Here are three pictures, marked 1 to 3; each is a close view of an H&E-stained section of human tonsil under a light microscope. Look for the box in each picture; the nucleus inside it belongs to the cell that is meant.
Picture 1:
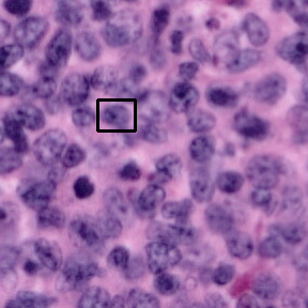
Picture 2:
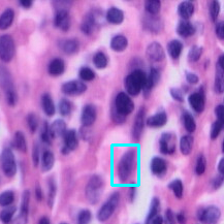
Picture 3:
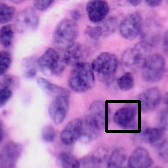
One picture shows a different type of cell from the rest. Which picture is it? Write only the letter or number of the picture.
2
